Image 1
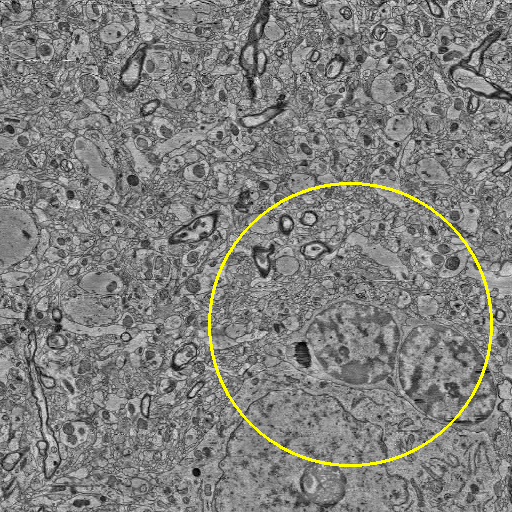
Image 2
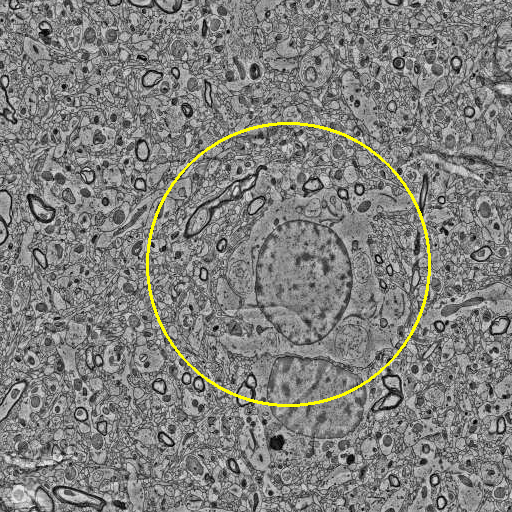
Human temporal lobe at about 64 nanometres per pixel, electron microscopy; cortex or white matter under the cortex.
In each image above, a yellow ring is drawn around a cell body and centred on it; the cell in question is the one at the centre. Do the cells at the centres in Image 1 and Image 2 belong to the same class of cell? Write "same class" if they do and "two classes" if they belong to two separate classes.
two classes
